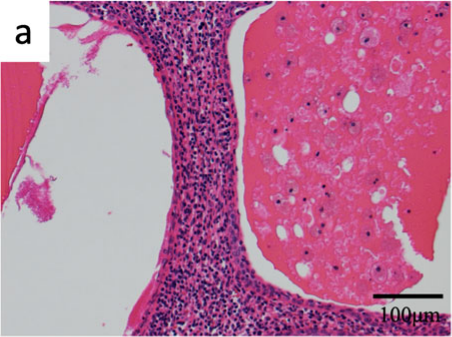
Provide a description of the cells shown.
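Two cystic spaces separated by a narrow band of densely packed cells with small dark round nuclei. The right-hand cyst is filled with bright pink fluid containing scattered rounded pale cells with small dark nuclei and clear vacuoles, while the left-hand space is largely empty.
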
